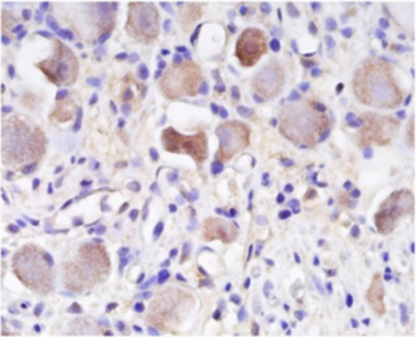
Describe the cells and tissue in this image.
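Ganglion tissue with large rounded neuronal cell bodies scattered among many small cells. The neuronal cytoplasm is granular and stained brown, with intensity ranging from pale to dark between neighbouring neurons. Some neurons show a large pale round nucleus. Small blue oval nuclei crowd around the neurons and fill the spaces between them. A few clear spaces are visible around some cell bodies.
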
